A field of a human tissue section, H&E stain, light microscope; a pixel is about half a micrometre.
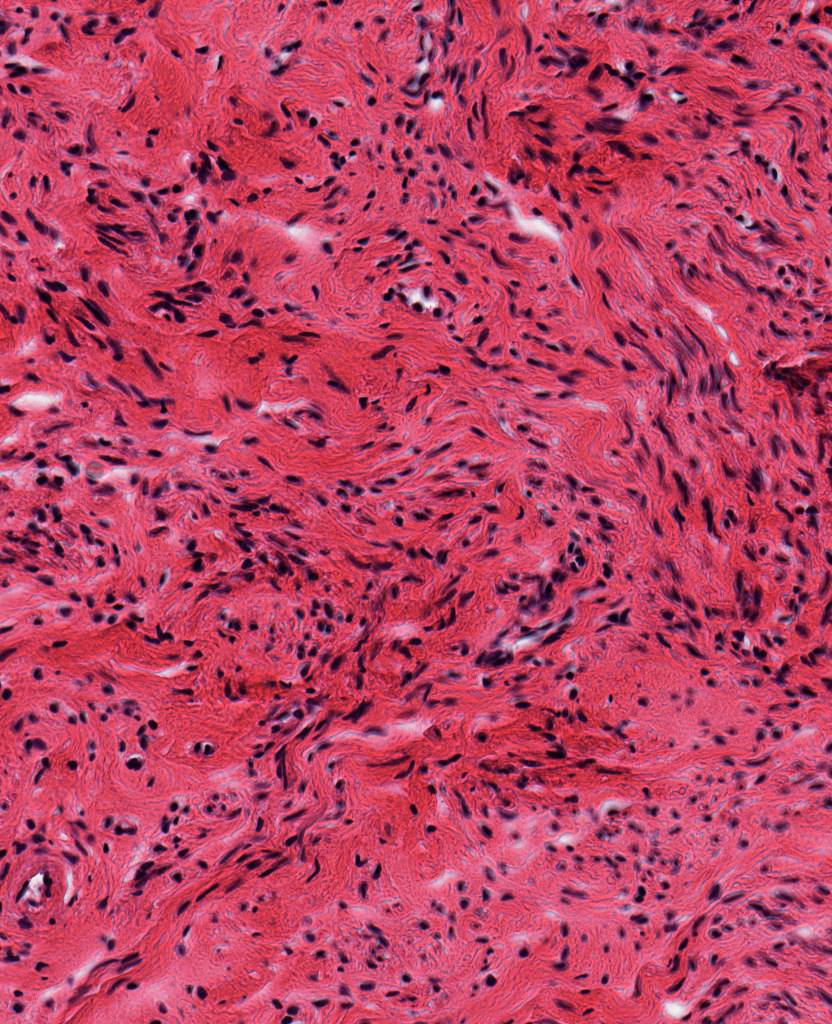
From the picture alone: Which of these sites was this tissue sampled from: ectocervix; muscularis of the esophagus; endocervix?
endocervix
